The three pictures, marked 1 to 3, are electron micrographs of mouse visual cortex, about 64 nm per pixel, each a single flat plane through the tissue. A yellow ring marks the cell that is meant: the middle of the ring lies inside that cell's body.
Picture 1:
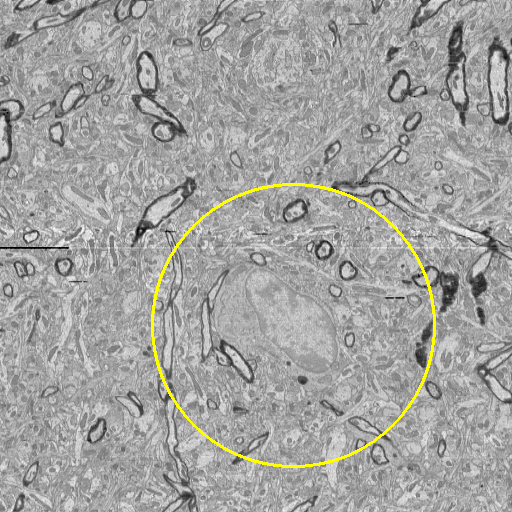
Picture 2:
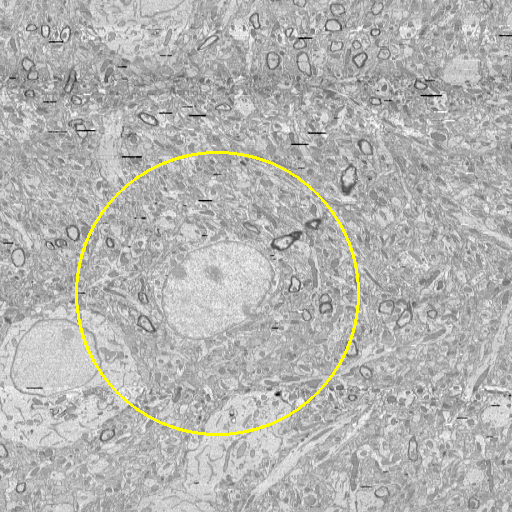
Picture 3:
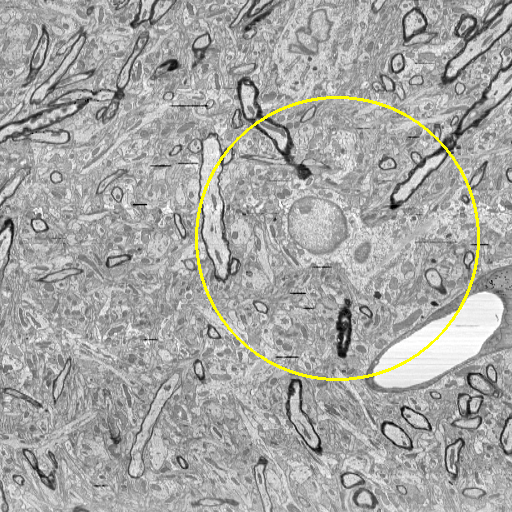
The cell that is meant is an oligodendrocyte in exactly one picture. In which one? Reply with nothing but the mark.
1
